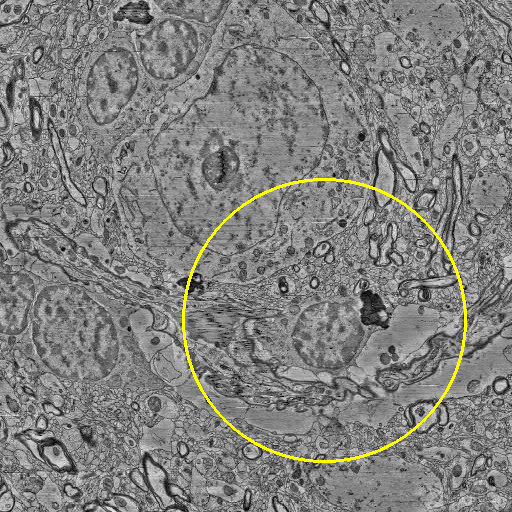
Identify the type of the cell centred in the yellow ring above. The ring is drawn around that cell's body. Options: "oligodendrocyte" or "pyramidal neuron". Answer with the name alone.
oligodendrocyte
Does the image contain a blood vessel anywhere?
Yes, one is visible.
